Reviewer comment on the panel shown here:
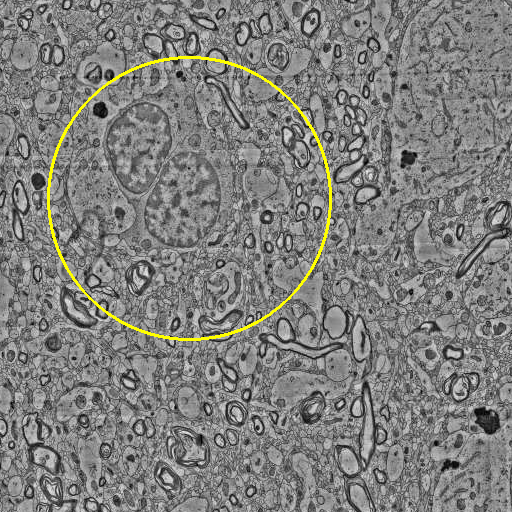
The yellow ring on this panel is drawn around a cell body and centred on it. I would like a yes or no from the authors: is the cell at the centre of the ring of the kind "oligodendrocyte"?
yes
